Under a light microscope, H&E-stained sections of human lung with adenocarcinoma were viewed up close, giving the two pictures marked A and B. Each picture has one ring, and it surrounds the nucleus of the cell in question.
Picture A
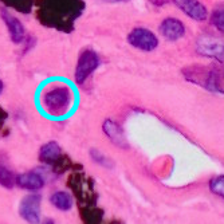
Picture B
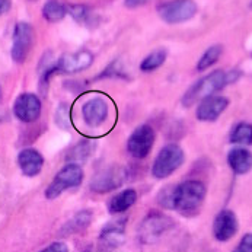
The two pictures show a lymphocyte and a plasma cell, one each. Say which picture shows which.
A: plasma cell
B: lymphocyte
